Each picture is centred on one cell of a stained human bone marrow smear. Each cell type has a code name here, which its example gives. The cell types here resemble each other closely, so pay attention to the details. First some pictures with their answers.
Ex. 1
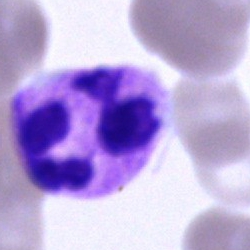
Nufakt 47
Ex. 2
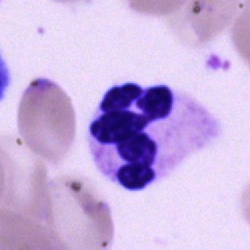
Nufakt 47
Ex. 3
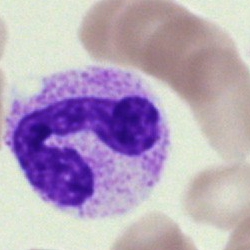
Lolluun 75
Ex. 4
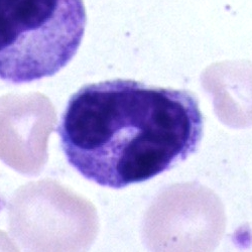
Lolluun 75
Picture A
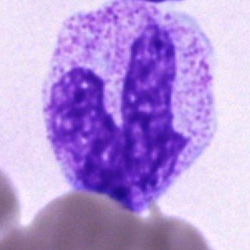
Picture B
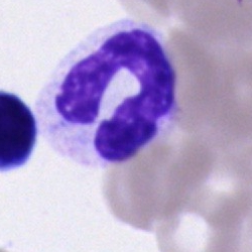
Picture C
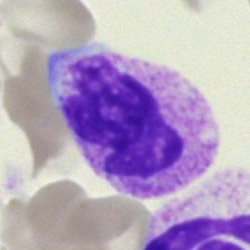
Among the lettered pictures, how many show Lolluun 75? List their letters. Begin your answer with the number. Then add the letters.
Count: 2 (A, B)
